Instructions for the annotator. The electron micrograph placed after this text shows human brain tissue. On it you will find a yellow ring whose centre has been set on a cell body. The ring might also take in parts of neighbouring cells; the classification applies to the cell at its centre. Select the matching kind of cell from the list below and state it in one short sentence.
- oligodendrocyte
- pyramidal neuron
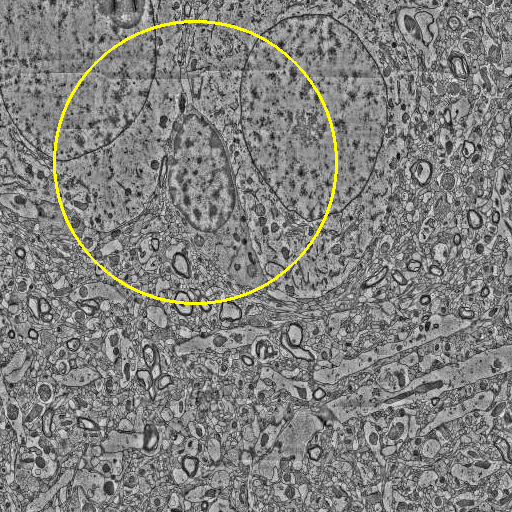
The ring is drawn on the cell body of an oligodendrocyte.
